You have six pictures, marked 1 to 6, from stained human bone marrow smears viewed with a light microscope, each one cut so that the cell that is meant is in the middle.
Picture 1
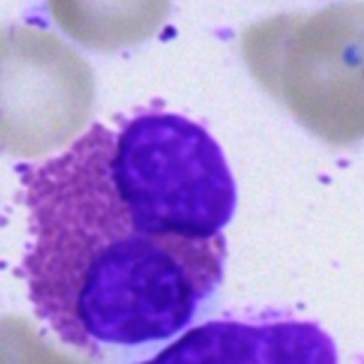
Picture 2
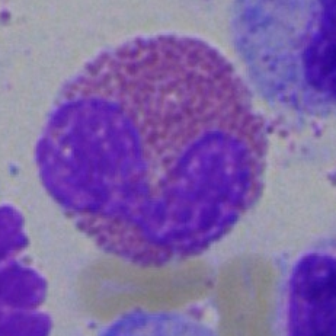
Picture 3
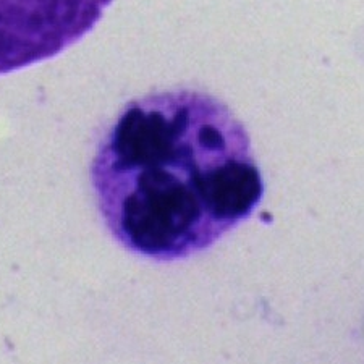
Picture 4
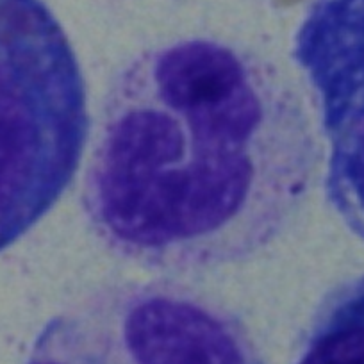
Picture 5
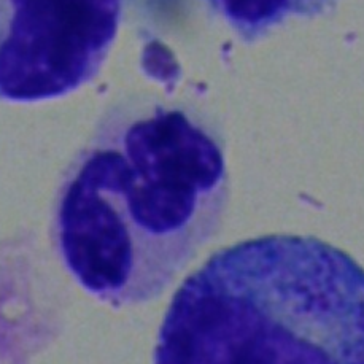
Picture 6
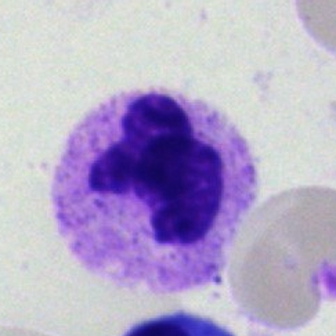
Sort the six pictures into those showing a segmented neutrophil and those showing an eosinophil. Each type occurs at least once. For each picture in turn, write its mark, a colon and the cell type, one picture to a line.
1: eosinophil
2: eosinophil
3: segmented neutrophil
4: segmented neutrophil
5: segmented neutrophil
6: segmented neutrophil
